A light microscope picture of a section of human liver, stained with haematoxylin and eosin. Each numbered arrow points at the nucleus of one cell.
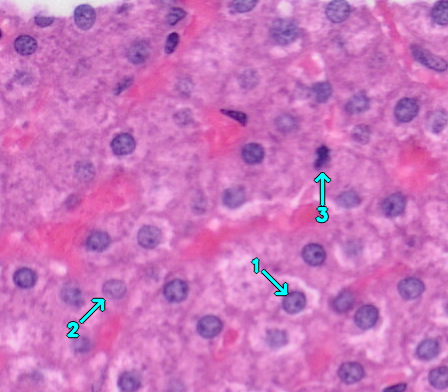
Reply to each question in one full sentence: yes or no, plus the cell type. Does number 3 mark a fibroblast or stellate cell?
Yes, the cell that bears the number 3 is a fibroblast or stellate cell.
